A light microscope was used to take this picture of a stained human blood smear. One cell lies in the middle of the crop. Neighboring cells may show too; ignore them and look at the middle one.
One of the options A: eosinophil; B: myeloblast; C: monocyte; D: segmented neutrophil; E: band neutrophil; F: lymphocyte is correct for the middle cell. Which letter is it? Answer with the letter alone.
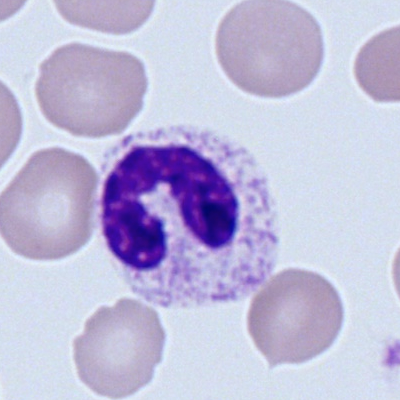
E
